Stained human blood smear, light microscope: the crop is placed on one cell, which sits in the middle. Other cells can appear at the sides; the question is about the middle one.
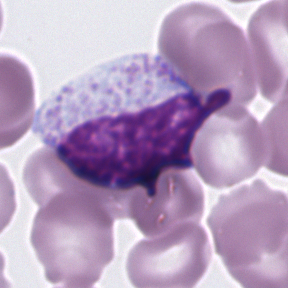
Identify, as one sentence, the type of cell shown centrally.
The central cell shown in this smear crop is a myelocyte.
